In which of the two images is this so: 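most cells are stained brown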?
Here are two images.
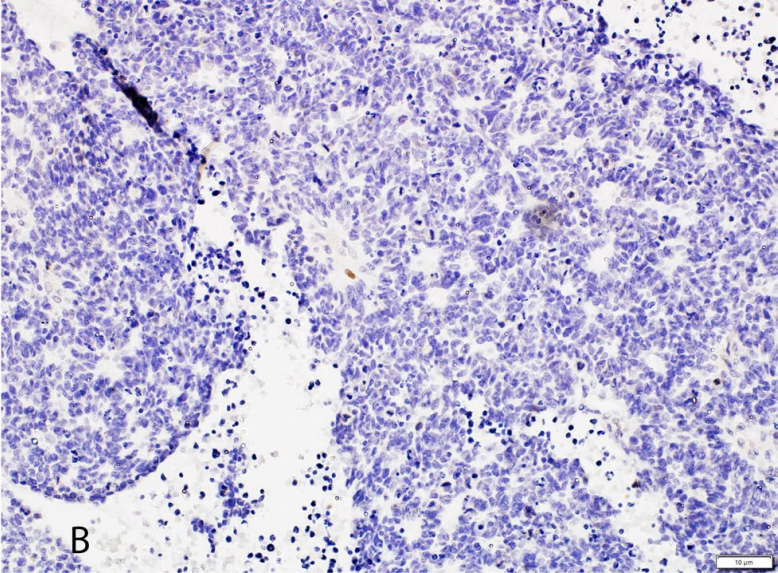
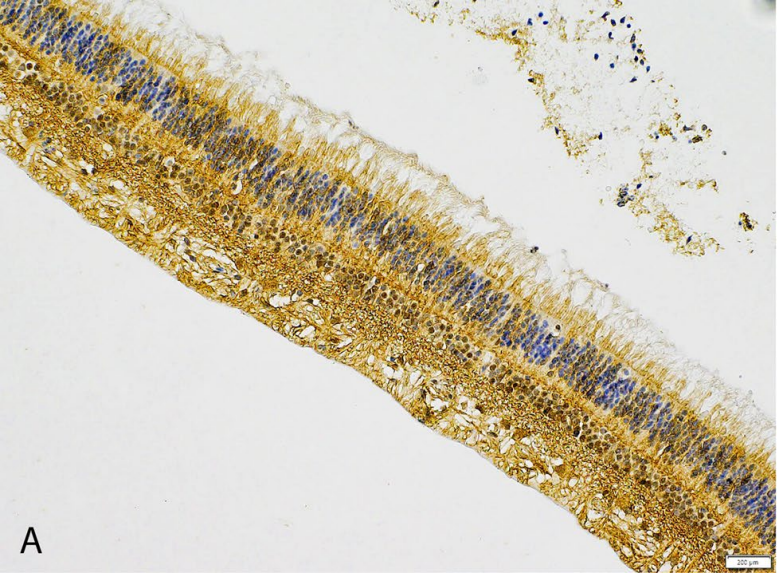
the second image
